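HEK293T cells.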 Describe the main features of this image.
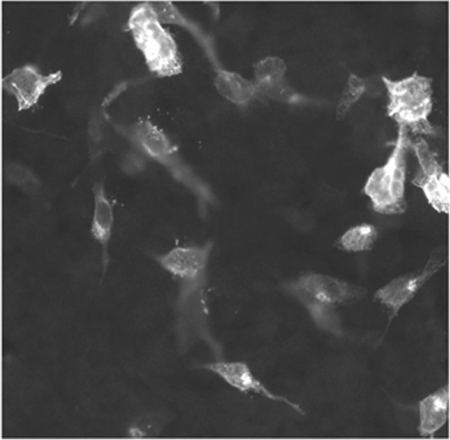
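Scattered cultured cells lie on a dark background, and only some of them show bright signal. The labelled cells are rounded to irregular in outline, and several extend short, thin processes. The signal fills the cell body broadly and is brightest in some compact, strongly labelled cells. A few small bright dots are visible within the cytoplasm.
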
